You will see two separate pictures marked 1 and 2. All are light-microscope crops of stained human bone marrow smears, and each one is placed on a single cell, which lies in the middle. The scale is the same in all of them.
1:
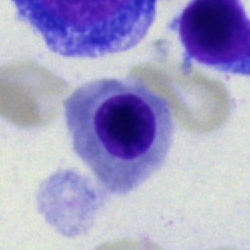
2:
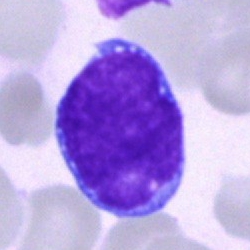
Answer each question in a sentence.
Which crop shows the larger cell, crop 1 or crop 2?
The cell in crop 2 is larger, with about 2 times the area of the one in crop 1.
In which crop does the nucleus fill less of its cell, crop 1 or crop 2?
The nucleus fills less of the cell in crop 1 than in crop 2.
